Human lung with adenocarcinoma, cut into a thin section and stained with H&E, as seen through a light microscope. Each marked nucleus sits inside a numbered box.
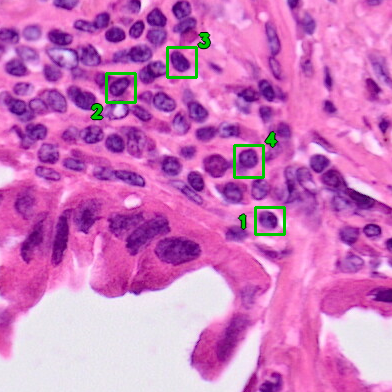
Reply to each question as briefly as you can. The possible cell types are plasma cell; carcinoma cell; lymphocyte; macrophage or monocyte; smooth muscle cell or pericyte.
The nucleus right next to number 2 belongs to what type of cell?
plasma cell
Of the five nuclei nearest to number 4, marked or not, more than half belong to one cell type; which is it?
plasma cell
